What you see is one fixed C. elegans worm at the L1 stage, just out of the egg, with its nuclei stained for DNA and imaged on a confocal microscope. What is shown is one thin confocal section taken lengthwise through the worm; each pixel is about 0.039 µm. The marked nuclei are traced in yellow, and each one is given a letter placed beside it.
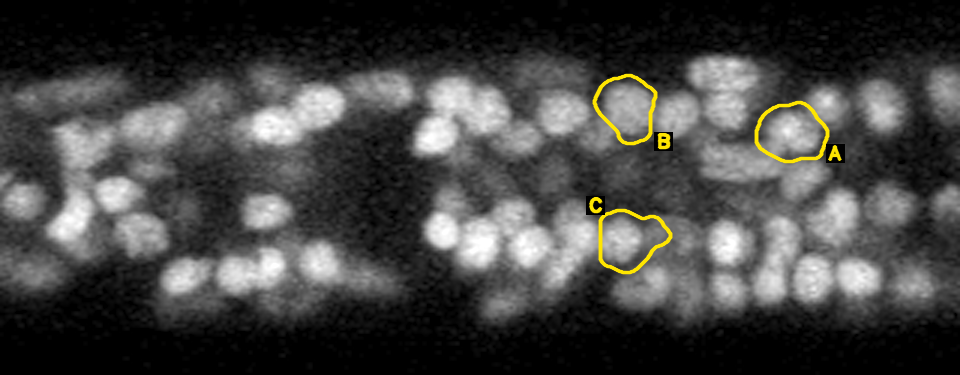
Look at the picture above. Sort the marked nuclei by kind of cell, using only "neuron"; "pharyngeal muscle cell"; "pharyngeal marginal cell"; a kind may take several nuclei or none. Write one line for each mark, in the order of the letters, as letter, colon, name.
A: pharyngeal muscle cell
B: neuron
C: neuron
